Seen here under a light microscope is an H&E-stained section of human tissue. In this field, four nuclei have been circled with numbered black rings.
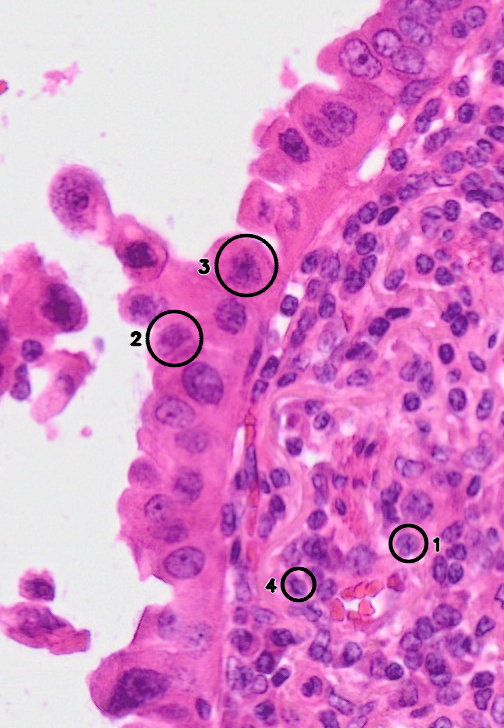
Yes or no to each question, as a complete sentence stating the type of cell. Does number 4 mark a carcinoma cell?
No, number 4 is not a carcinoma cell but a lymphocyte.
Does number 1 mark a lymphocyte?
Yes, the cell sitting at number 1 is a lymphocyte.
